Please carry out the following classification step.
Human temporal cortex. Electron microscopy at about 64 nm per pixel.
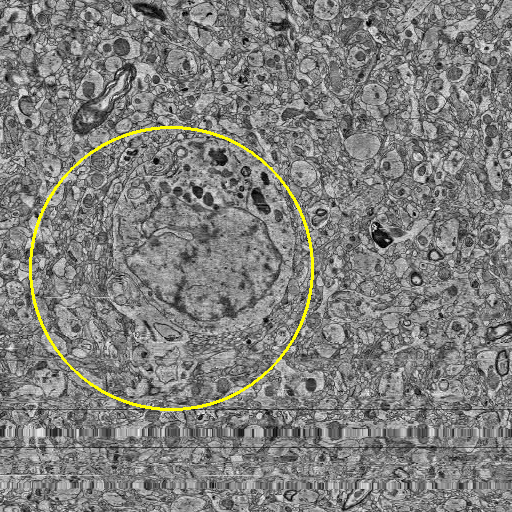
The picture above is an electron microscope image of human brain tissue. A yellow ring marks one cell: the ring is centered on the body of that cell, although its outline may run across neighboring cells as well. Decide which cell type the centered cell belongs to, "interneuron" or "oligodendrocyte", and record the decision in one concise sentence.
The cell centered in the yellow ring is an interneuron.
